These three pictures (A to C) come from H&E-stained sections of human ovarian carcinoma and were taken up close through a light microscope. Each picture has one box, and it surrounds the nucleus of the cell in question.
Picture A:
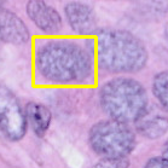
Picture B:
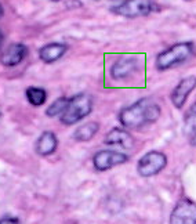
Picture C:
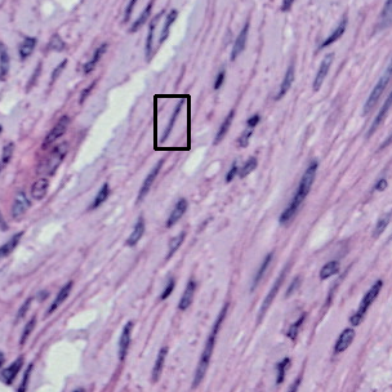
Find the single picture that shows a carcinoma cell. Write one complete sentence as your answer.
Picture A shows the carcinoma cell.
